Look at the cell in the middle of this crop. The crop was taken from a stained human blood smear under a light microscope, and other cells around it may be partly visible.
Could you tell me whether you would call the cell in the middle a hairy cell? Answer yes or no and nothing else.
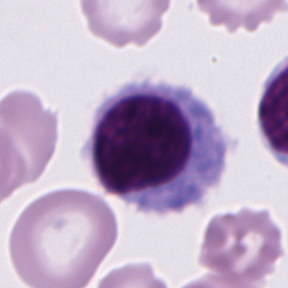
yes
